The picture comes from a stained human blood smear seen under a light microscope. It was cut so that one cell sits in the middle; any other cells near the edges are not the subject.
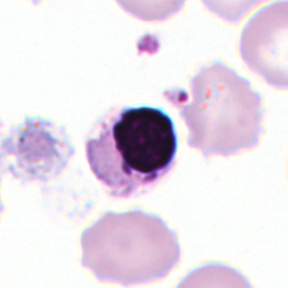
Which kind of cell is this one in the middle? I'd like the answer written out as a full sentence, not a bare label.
The cell positioned in the middle of the field is an erythroblast.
